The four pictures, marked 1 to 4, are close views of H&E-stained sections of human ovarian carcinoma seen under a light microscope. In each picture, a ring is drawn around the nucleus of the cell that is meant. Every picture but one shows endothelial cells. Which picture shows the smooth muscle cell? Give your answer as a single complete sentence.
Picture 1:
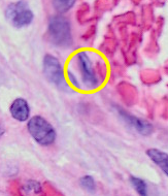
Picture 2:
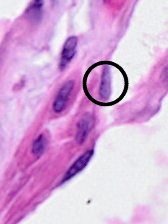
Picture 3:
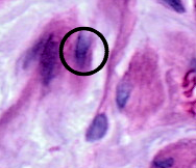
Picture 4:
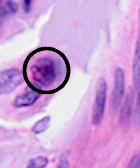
It is picture 3 that shows the smooth muscle cell.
